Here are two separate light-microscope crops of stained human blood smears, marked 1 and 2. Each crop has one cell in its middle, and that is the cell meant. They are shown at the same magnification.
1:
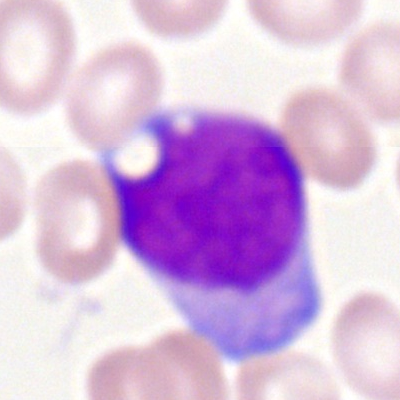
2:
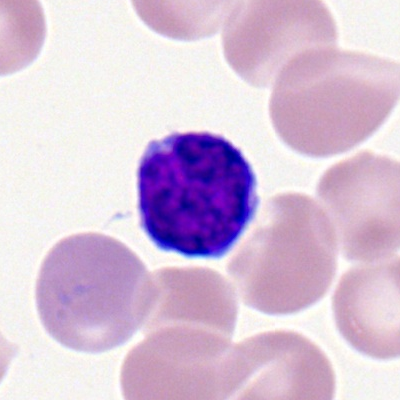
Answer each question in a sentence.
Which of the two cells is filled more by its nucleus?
The nucleus fills more of the cell in crop 2 than in crop 1.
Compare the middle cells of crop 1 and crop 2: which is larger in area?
It is the cell in crop 1, about 2.5 times as large in area as the cell in crop 2.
